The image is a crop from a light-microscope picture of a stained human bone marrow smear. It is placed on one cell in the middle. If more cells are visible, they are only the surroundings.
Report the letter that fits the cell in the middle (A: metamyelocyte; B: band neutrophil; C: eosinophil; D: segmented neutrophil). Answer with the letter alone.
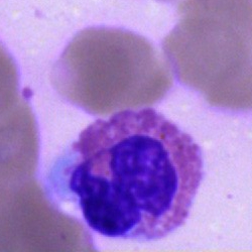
C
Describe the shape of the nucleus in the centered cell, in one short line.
The nucleus is divided into two or more distinct lobes.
